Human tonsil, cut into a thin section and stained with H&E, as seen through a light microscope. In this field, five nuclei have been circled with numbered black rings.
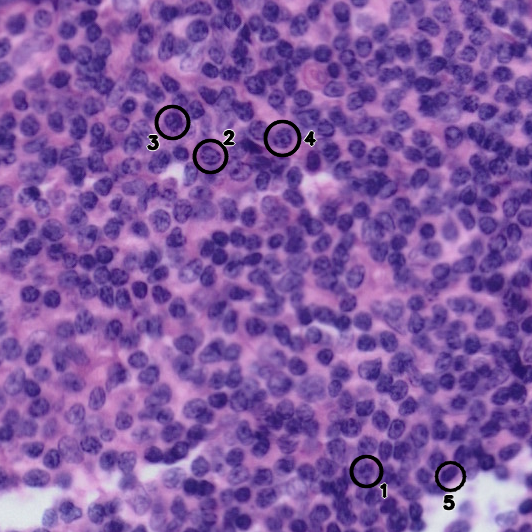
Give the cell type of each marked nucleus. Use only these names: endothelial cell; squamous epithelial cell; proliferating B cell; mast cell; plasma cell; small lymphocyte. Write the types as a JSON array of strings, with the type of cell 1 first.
["small lymphocyte", "plasma cell", "plasma cell", "plasma cell", "small lymphocyte"]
